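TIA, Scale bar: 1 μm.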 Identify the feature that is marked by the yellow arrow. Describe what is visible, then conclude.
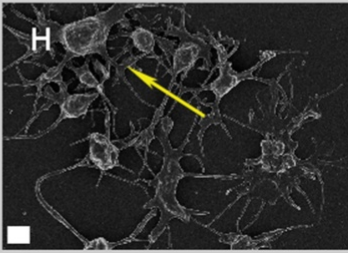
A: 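Many small cell bodies are joined by interlacing thin processes into a network. Cells lie touching and overlapping one another.
Platelet aggregates.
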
